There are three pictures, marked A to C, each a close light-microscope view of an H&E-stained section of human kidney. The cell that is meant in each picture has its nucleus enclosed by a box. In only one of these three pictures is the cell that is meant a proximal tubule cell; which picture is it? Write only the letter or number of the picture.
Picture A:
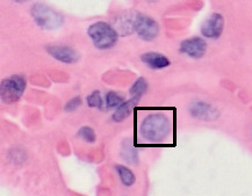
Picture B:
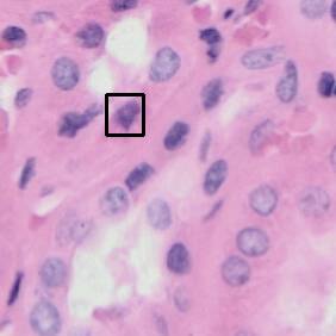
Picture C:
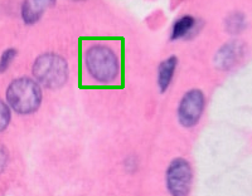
C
